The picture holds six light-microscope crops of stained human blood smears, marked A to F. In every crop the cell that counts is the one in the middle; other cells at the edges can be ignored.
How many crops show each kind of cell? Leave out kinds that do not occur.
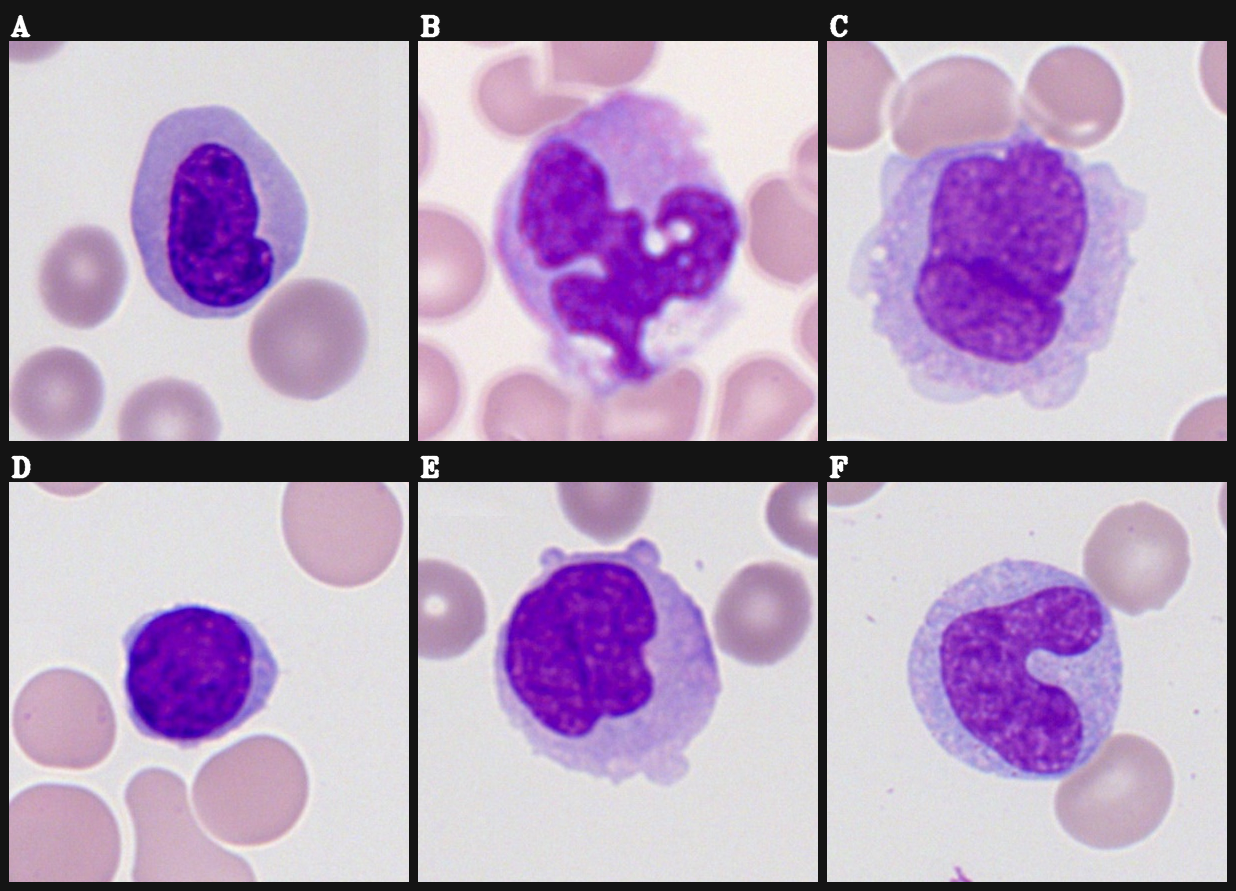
monocyte: 4
erythroblast: 1
lymphocyte: 1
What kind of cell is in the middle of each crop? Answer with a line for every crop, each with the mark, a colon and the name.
A: erythroblast
B: monocyte
C: monocyte
D: lymphocyte
E: monocyte
F: monocyte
